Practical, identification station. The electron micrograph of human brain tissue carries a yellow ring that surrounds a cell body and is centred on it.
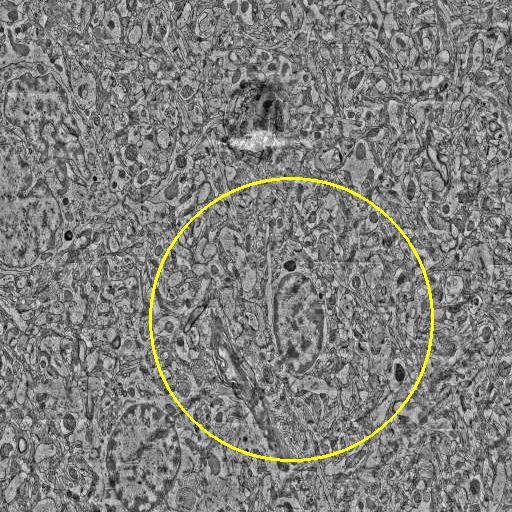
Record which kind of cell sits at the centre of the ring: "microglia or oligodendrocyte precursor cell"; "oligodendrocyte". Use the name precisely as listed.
microglia or oligodendrocyte precursor cell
